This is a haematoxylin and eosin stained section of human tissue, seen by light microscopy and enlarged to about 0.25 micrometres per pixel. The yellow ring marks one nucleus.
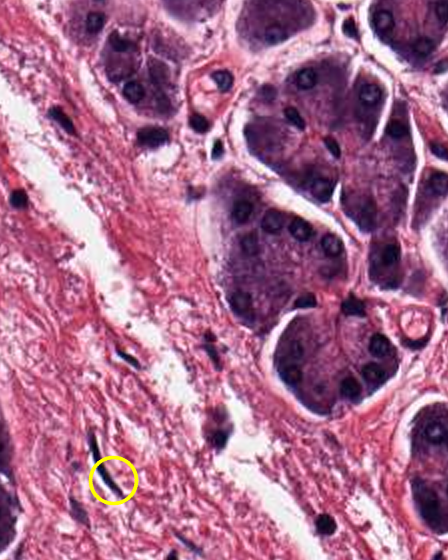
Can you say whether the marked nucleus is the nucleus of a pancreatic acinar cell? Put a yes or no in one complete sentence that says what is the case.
No, the marked nucleus is the nucleus of a supporting cell rather than of a pancreatic acinar cell.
